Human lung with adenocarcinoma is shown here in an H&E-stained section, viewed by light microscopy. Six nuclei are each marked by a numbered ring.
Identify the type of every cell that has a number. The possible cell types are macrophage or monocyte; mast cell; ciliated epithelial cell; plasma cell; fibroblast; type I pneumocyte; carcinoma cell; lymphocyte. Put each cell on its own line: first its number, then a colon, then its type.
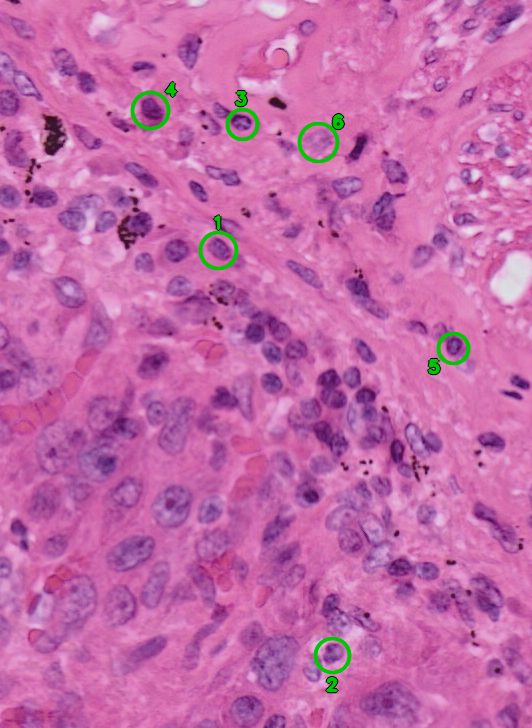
1: mast cell
2: lymphocyte
3: mast cell
4: plasma cell
5: mast cell
6: fibroblast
